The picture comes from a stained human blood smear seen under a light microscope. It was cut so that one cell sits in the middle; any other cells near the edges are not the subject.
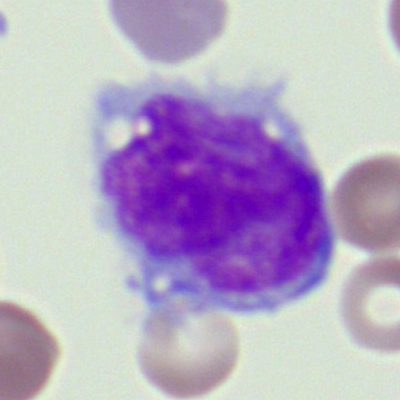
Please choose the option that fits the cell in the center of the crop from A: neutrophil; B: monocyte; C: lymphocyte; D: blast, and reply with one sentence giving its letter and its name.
Since the cell in the middle is a monocyte, option B is correct.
